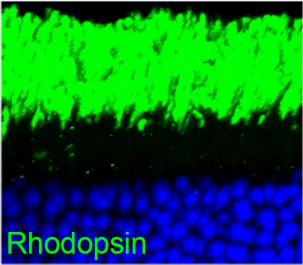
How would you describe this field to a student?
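This is the photoreceptor layer of the retina. The green stain is packed into the outer segments, a bright band of parallel, rod-like profiles at the top. The inner segments below are nearly dark, and the blue nuclei of the outer nuclear layer fill the bottom.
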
